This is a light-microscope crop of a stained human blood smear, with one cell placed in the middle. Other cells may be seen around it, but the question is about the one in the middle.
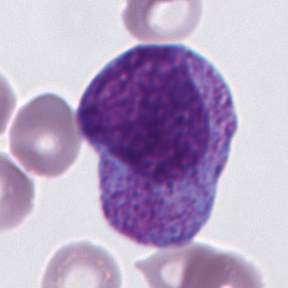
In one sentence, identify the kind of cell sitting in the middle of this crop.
The centrally located cell in the crop is an atypical promyelocyte.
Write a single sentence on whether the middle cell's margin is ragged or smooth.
Thanks for asking; the cell edge is smooth and has no projections.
